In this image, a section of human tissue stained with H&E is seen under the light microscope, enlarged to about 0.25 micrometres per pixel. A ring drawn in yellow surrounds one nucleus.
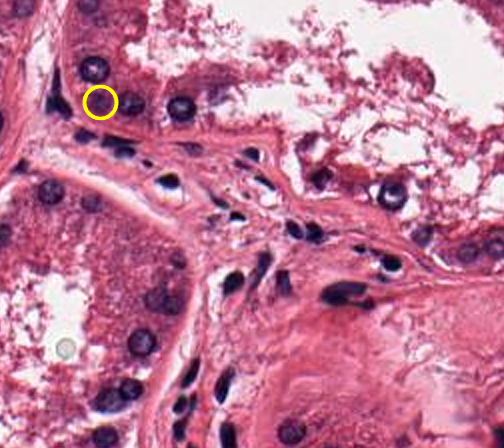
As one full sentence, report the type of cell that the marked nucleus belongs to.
The mark in this picture falls on the nucleus of a proximal tubule cell.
